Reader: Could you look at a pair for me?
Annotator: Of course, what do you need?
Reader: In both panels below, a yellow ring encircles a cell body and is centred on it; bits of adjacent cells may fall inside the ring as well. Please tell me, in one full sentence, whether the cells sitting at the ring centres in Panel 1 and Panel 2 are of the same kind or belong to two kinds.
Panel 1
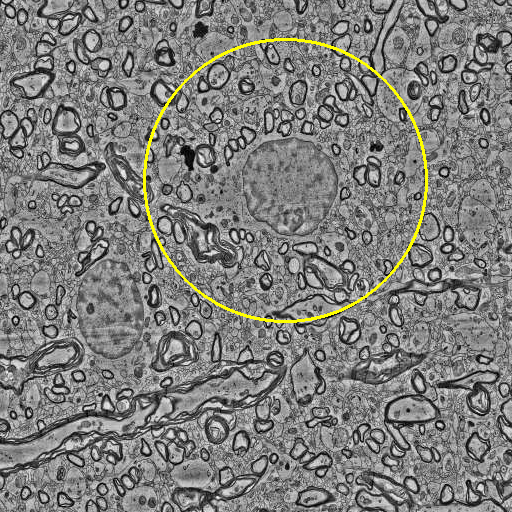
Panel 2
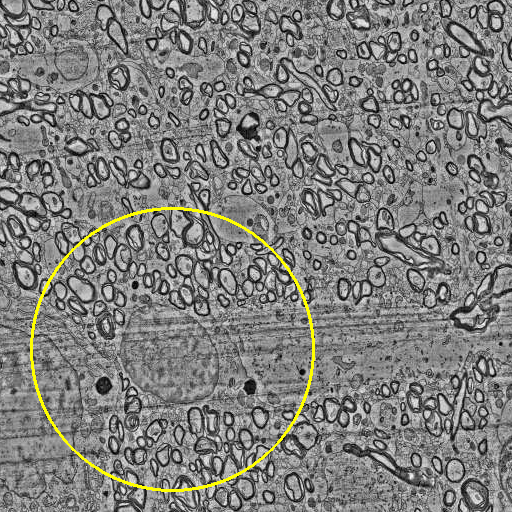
The cell at the ring's centre in Panel 1 and the one in Panel 2 are of the same kind.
